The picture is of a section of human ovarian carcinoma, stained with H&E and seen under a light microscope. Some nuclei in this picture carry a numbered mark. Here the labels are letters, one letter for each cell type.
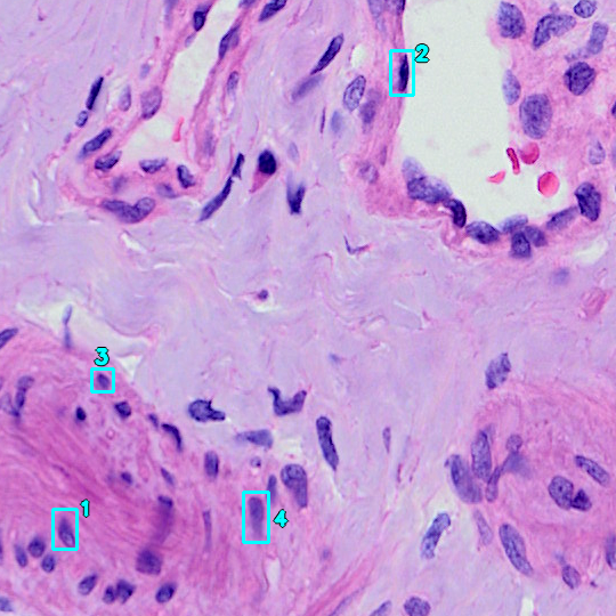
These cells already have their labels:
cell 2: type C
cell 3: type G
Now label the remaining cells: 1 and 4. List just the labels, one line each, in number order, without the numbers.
type G
type G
